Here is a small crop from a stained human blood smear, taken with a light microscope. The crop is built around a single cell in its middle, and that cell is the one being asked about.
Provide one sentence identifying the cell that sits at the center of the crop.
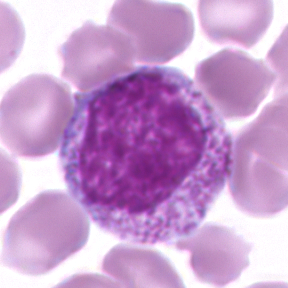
The cell centred in this crop is categorized as a myelocyte.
